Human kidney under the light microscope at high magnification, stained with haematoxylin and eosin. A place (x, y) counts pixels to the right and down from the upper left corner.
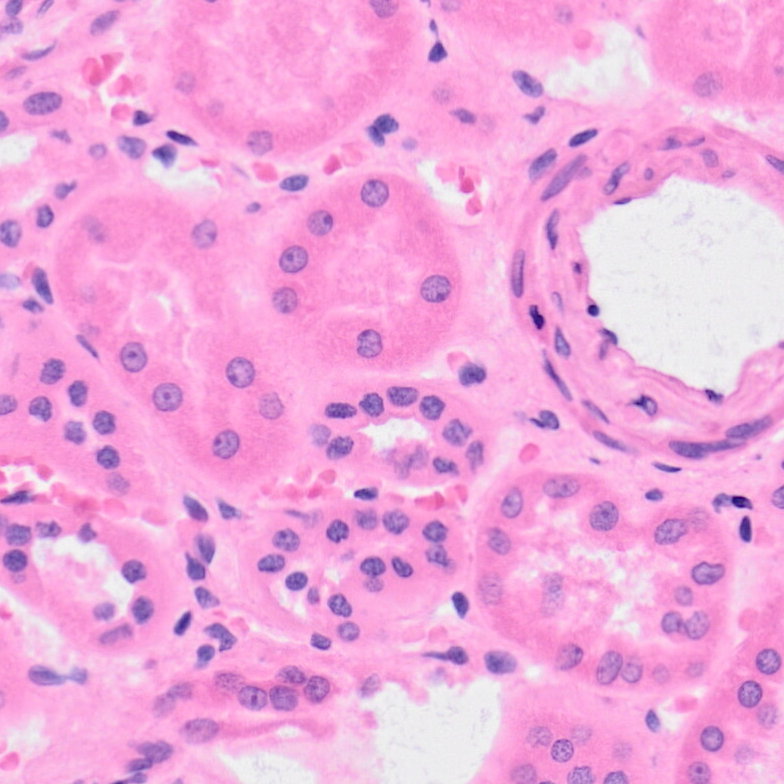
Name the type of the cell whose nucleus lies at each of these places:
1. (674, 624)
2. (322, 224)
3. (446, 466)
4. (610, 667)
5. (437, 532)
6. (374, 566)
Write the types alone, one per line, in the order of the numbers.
proximal tubule cell
proximal tubule cell
collecting duct cell
proximal tubule cell
collecting duct cell
collecting duct cell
